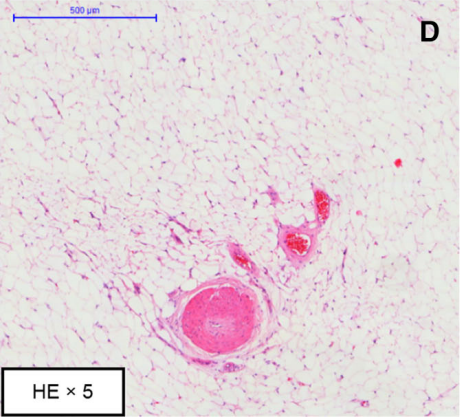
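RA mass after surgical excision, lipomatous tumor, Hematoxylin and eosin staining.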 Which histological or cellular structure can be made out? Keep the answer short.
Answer: Vessels with thick muscular walls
